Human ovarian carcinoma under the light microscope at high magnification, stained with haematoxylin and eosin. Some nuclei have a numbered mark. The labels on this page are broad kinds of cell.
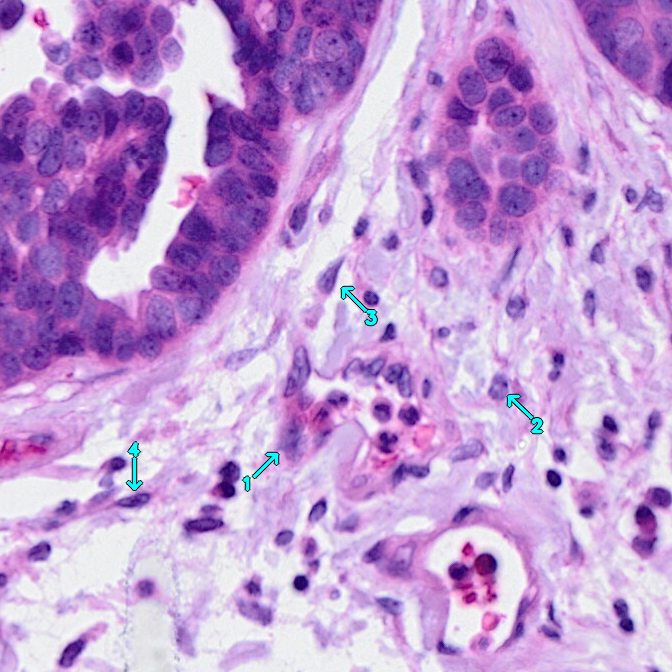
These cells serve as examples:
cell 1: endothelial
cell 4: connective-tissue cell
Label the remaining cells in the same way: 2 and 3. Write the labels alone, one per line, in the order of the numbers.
connective-tissue cell
connective-tissue cell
